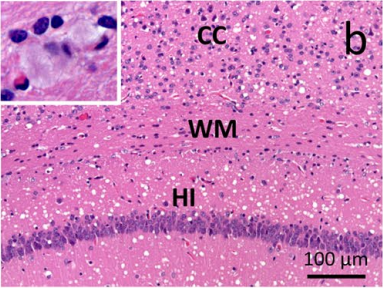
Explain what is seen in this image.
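Hematoxylin and eosin stained section of cerebral cortex, white matter and hippocampus, showing fine spongiform degeneration and small plaques. The pink cortex at the top holds many small, round, clear holes that stay separate from one another, with scattered purple nuclei between them. Below, a band of white matter runs across the field with elongated nuclei in rows. At the bottom, the hippocampal pyramidal cell layer forms a dense curved band of closely packed purple nuclei. The inset shows a discrete plaque: a pale pink, rounded deposit with a faintly fibrillar texture, flanked by dark nuclei.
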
